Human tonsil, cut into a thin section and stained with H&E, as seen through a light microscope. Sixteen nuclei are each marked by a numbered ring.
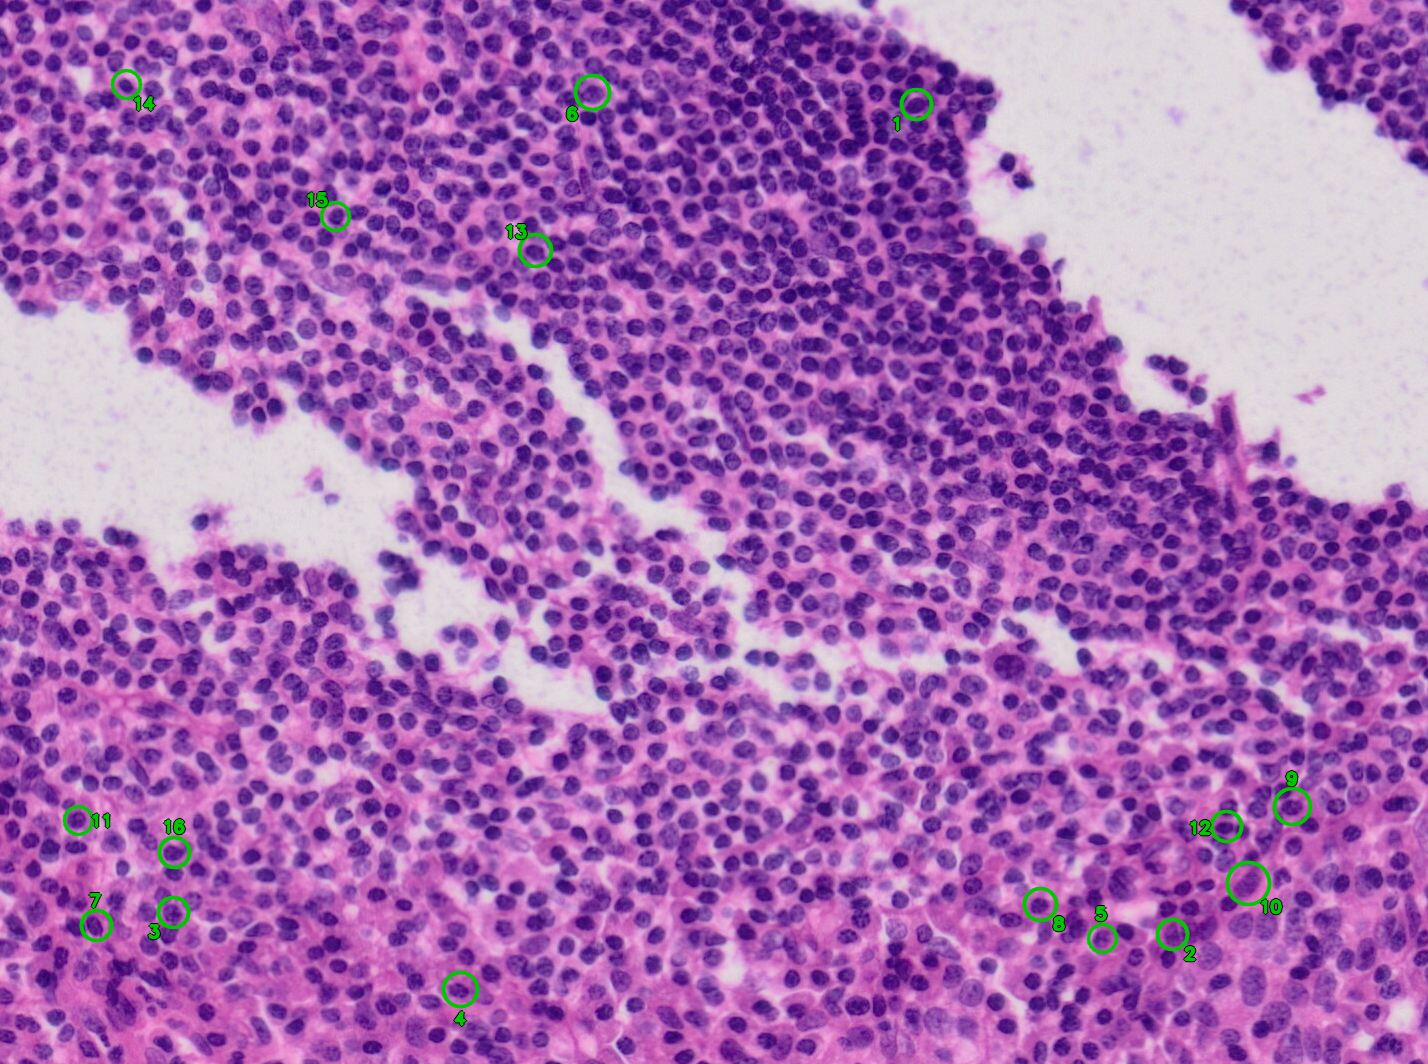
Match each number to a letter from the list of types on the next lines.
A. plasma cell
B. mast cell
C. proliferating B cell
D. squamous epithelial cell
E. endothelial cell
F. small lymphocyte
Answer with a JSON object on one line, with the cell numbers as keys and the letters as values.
{"1": "F", "2": "D", "3": "A", "4": "A", "5": "A", "6": "F", "7": "A", "8": "A", "9": "A", "10": "D", "11": "A", "12": "A", "13": "F", "14": "F", "15": "F", "16": "A"}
